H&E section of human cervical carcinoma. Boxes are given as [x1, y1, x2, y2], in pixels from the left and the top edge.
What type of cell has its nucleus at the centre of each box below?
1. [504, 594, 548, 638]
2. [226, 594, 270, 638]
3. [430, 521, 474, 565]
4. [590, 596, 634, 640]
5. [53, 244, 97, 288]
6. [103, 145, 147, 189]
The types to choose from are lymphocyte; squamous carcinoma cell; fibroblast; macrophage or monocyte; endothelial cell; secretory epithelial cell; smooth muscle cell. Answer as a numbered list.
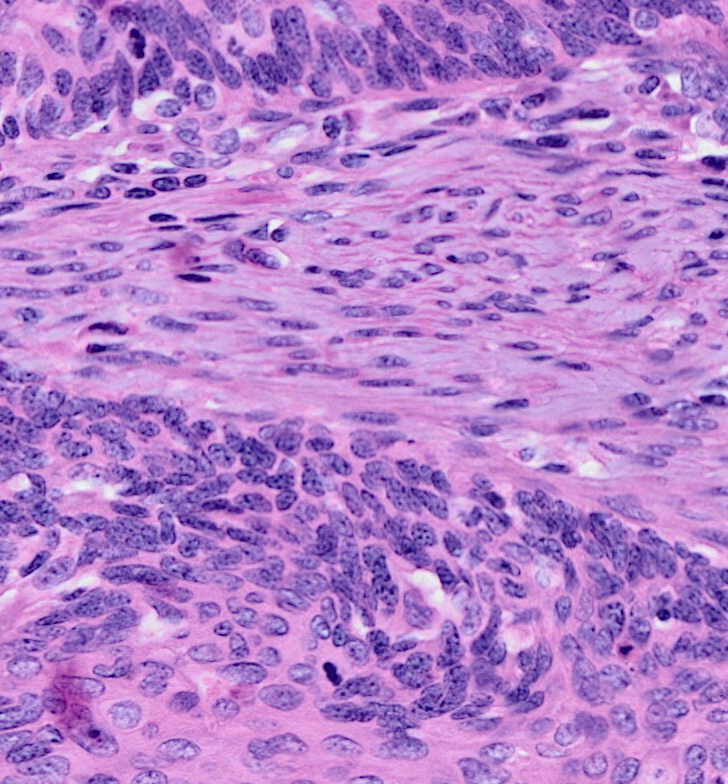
1. squamous carcinoma cell
2. squamous carcinoma cell
3. squamous carcinoma cell
4. squamous carcinoma cell
5. smooth muscle cell
6. lymphocyte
